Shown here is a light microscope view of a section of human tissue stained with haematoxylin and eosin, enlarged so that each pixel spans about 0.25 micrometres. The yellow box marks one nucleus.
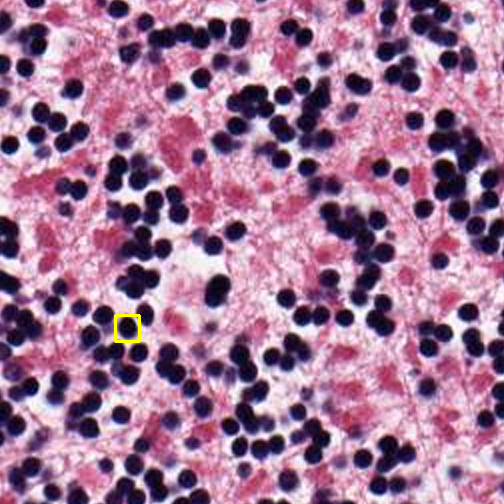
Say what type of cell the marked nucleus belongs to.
cerebellar granule cell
